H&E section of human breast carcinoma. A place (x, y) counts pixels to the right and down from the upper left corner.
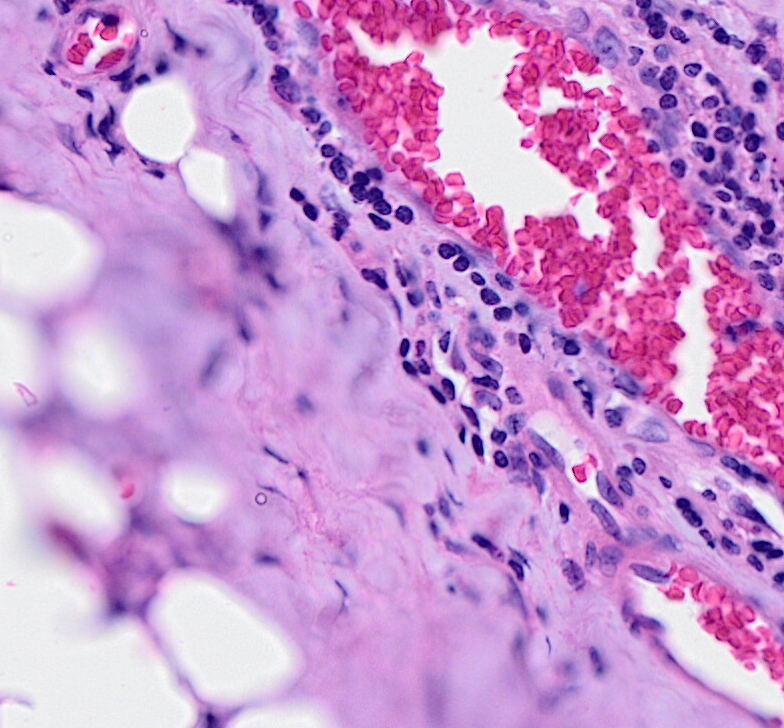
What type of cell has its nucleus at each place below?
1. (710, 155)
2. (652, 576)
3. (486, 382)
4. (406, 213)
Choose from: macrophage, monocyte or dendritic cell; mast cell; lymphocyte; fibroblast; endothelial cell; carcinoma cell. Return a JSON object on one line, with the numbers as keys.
{"1": "lymphocyte", "2": "endothelial cell", "3": "lymphocyte", "4": "lymphocyte"}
